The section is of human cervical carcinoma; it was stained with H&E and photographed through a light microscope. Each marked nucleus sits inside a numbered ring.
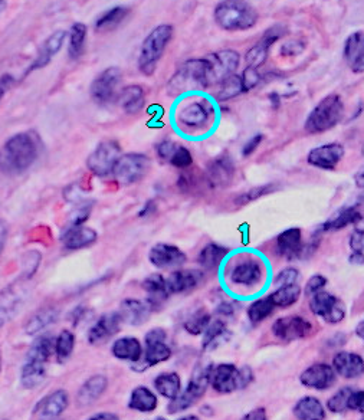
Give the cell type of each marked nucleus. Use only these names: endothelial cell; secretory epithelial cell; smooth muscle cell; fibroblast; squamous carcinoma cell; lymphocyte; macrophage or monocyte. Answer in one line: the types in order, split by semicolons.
lymphocyte; endothelial cell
